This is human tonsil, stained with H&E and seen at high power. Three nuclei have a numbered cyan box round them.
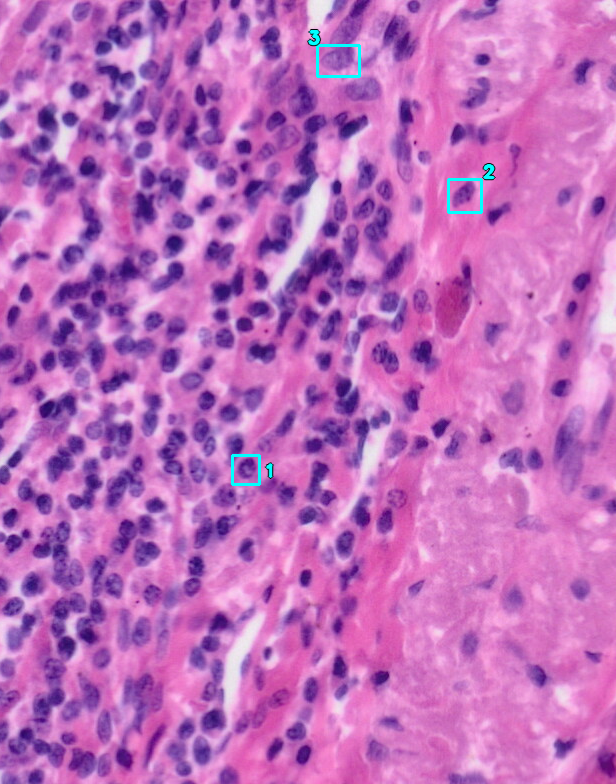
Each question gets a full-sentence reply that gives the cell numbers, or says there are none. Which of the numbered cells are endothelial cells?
Cell 3 is an endothelial cell, whereas each of the other numbered cells is not.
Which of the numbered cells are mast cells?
The cell marked by number 2 is a mast cell; the other marked cells are not.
